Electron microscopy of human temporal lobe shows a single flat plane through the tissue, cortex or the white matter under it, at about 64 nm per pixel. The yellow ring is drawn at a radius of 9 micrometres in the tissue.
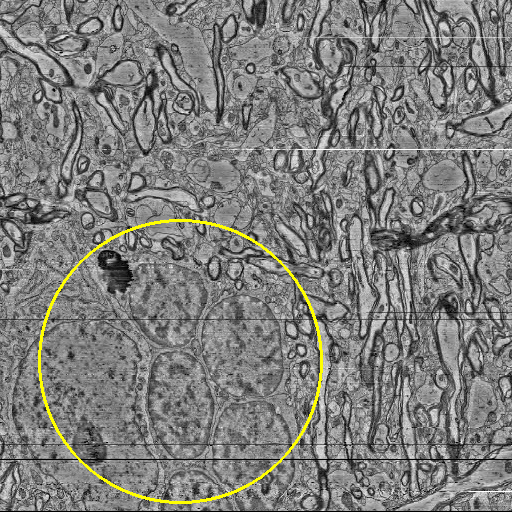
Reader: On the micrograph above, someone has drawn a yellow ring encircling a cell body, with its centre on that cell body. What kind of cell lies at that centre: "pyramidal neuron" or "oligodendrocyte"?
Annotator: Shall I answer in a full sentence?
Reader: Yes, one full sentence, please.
Here an oligodendrocyte sits at the centre of the yellow ring drawn on the micrograph.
